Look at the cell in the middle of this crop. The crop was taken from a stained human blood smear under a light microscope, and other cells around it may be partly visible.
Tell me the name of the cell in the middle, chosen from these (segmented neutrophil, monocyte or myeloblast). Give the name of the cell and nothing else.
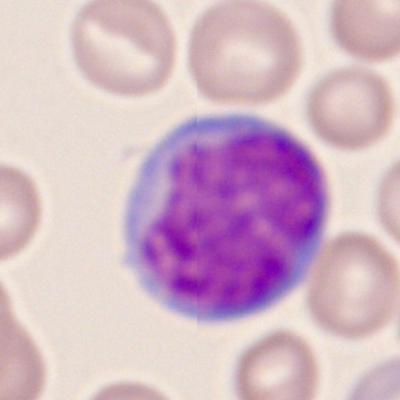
monocyte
